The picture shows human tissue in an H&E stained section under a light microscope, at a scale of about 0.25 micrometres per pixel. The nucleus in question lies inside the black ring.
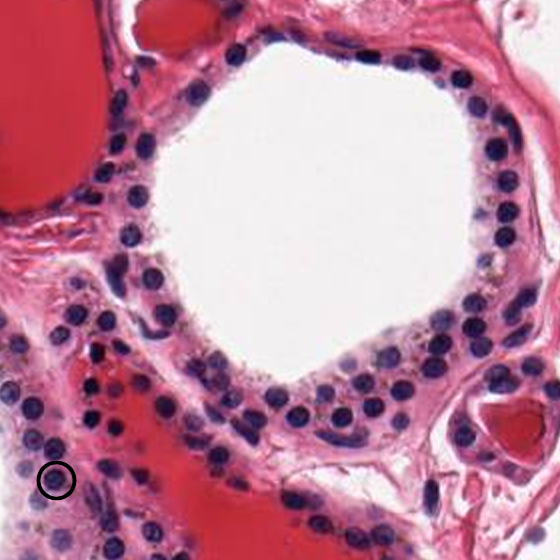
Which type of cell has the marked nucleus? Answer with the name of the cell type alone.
thyroid follicular cell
